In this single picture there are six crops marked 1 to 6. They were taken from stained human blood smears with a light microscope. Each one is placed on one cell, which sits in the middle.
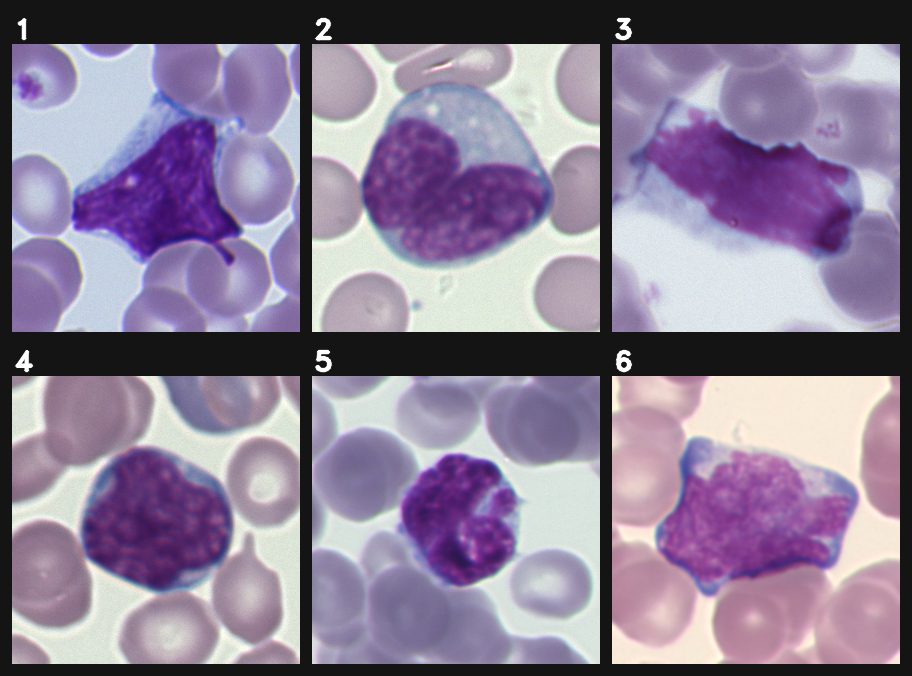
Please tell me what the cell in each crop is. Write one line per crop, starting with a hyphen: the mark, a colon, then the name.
- 1: lymphocyte
- 2: blast
- 3: lymphocyte
- 4: blast
- 5: lymphocyte
- 6: blast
